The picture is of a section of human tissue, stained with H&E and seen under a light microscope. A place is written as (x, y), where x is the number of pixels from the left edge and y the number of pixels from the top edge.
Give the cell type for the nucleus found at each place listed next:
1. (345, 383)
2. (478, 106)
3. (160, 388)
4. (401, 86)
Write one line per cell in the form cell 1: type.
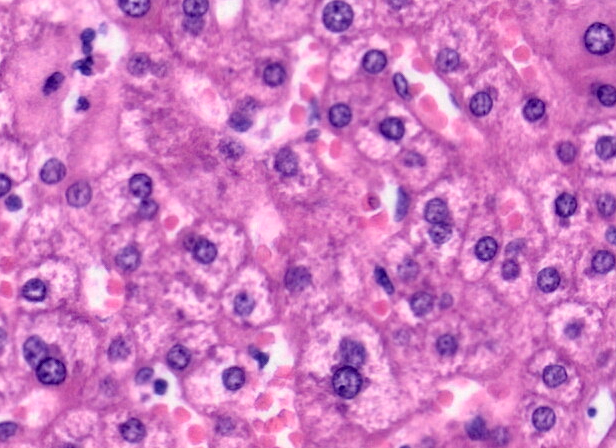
cell 1: hepatocyte
cell 2: hepatocyte
cell 3: lymphocyte
cell 4: Kupffer cell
